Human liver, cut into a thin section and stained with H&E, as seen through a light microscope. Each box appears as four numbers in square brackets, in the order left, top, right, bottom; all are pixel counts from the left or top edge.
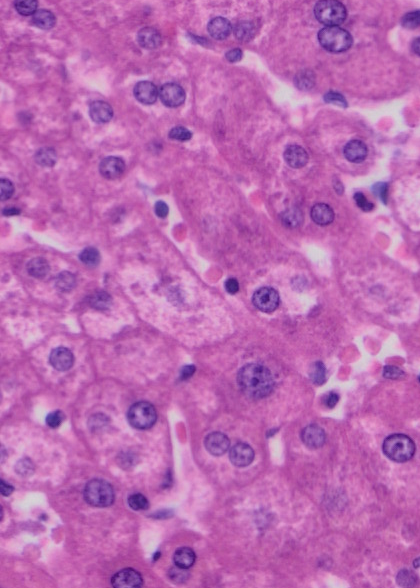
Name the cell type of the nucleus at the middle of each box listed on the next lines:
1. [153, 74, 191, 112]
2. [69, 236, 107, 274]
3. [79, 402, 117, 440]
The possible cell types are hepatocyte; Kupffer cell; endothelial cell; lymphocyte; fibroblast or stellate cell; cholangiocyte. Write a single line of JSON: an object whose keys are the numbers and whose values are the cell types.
{"1": "hepatocyte", "2": "endothelial cell", "3": "hepatocyte"}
